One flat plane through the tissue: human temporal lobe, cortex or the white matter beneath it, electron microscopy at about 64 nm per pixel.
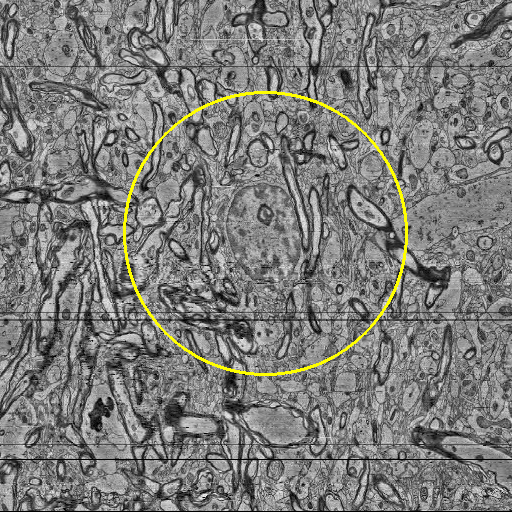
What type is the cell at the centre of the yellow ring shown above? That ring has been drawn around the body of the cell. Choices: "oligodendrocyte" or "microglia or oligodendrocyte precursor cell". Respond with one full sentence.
My answer is that an oligodendrocyte lies at the centre of the yellow ring above.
